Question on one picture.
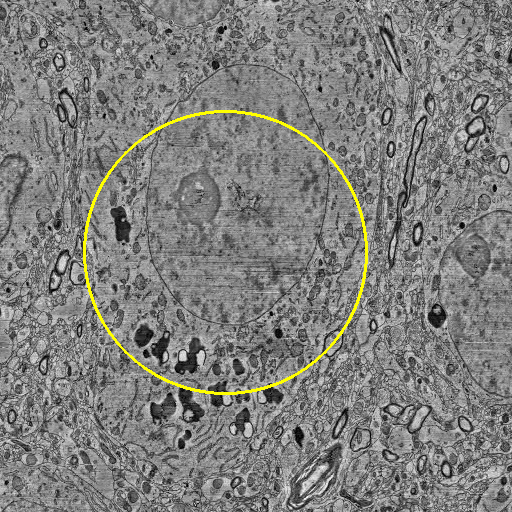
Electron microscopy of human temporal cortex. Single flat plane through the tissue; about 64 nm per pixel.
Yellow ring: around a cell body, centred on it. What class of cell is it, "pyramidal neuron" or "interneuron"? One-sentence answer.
This is a pyramidal neuron, the cell the ring is centred on.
